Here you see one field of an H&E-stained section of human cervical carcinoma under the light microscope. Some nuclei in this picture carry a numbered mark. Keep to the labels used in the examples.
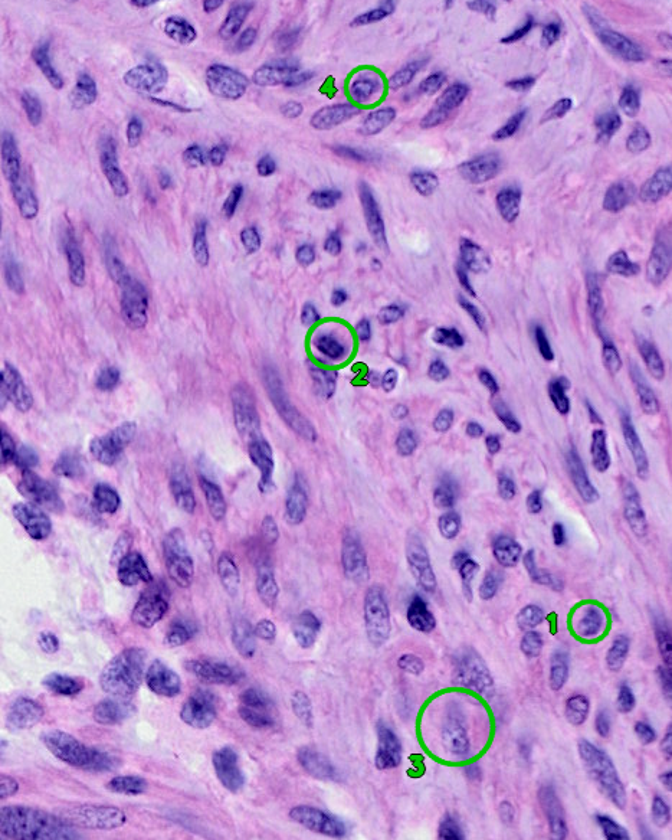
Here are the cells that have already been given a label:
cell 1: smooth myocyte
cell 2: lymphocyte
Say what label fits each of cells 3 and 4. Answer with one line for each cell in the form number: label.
3: smooth myocyte
4: smooth myocyte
